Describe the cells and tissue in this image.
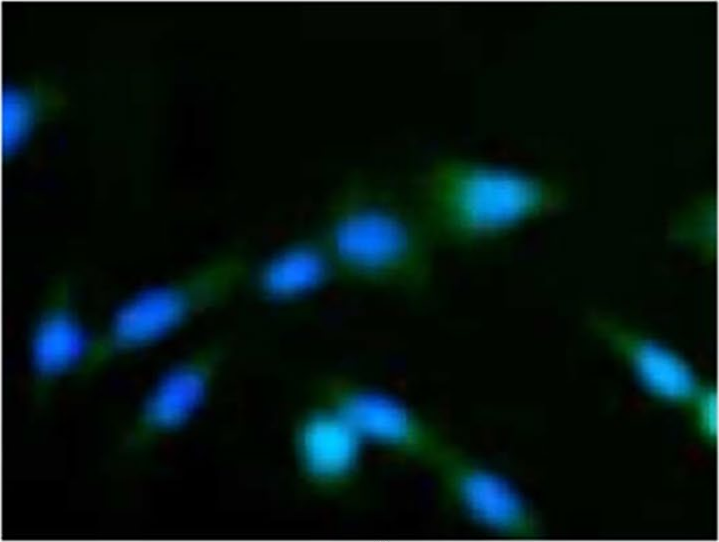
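Cultured cells with prominent oval blue nuclei scattered across the field, each surrounded by only faint, diffuse green cytoplasm. Cell outlines are indistinct and blurred; faint green fusiform extensions can be made out beside some nuclei.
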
